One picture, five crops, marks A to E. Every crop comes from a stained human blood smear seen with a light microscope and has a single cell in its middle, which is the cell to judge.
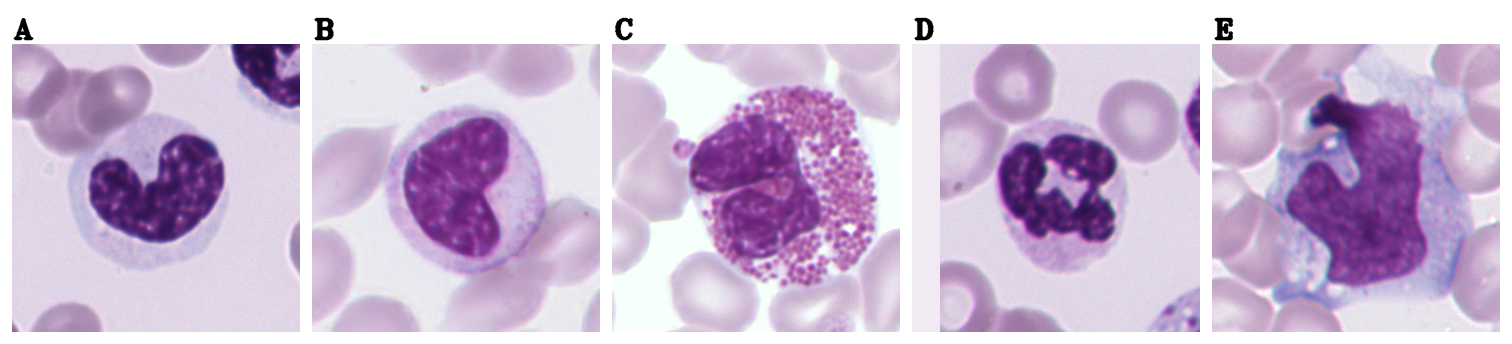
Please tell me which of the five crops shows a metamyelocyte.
B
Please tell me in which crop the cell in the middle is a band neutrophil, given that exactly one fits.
A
